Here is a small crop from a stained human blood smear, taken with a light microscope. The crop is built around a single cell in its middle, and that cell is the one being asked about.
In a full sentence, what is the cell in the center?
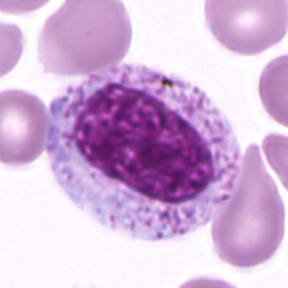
The central cell in this smear crop is a myelocyte.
